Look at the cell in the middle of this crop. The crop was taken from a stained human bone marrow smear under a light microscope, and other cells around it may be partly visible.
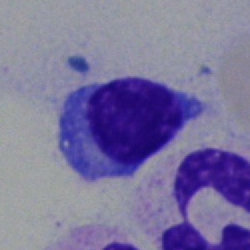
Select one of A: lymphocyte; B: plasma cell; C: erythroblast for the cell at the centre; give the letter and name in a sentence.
The cell in the middle is a plasma cell, so option B is correct.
